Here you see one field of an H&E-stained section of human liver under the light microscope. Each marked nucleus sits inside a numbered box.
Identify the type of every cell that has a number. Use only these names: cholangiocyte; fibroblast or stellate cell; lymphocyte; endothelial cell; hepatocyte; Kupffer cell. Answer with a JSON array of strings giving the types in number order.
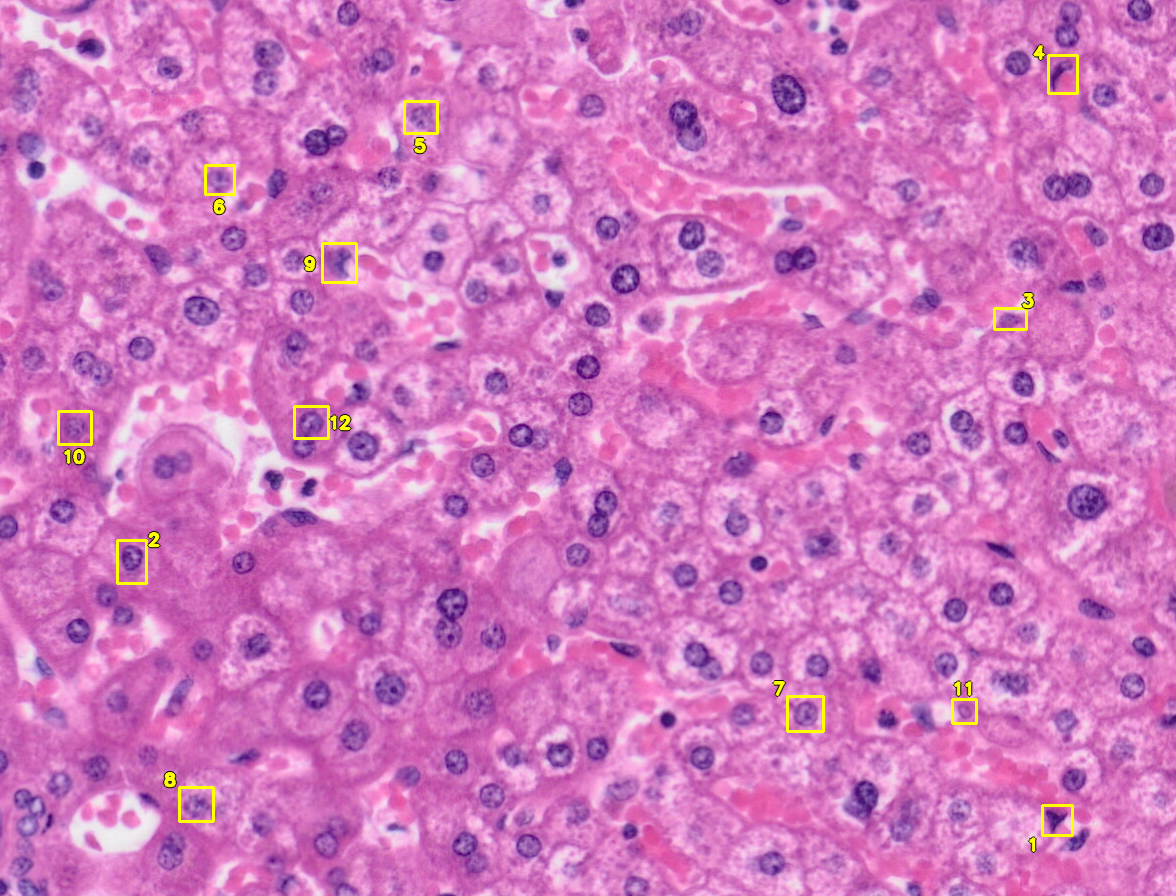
["endothelial cell", "hepatocyte", "Kupffer cell", "endothelial cell", "hepatocyte", "hepatocyte", "hepatocyte", "hepatocyte", "endothelial cell", "hepatocyte", "Kupffer cell", "hepatocyte"]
